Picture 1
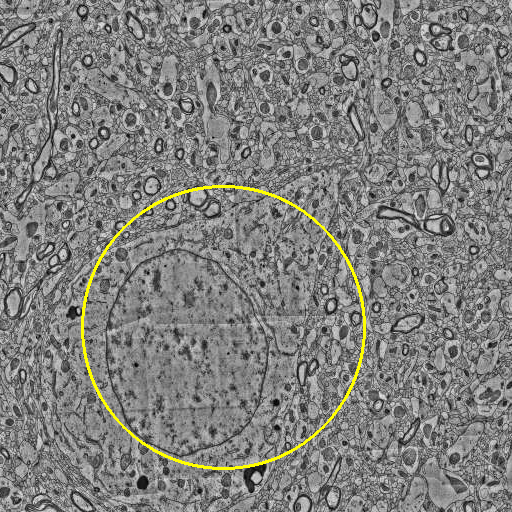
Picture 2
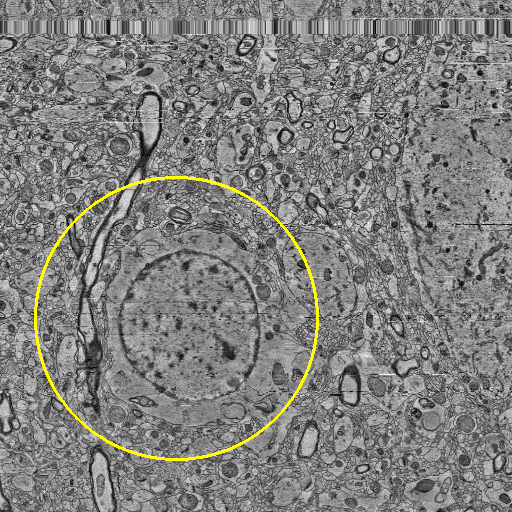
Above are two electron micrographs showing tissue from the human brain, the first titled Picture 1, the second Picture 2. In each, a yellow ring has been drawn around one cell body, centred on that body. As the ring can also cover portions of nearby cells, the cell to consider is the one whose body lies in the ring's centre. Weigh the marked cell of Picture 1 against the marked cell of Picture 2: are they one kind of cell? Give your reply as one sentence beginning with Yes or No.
No, the two cells sitting at the ring centres in the pictures are of two kinds.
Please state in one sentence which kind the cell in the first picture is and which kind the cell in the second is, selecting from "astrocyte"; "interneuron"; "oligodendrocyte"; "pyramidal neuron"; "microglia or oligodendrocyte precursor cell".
The first ringed cell is a pyramidal neuron, the second ringed cell an astrocyte.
